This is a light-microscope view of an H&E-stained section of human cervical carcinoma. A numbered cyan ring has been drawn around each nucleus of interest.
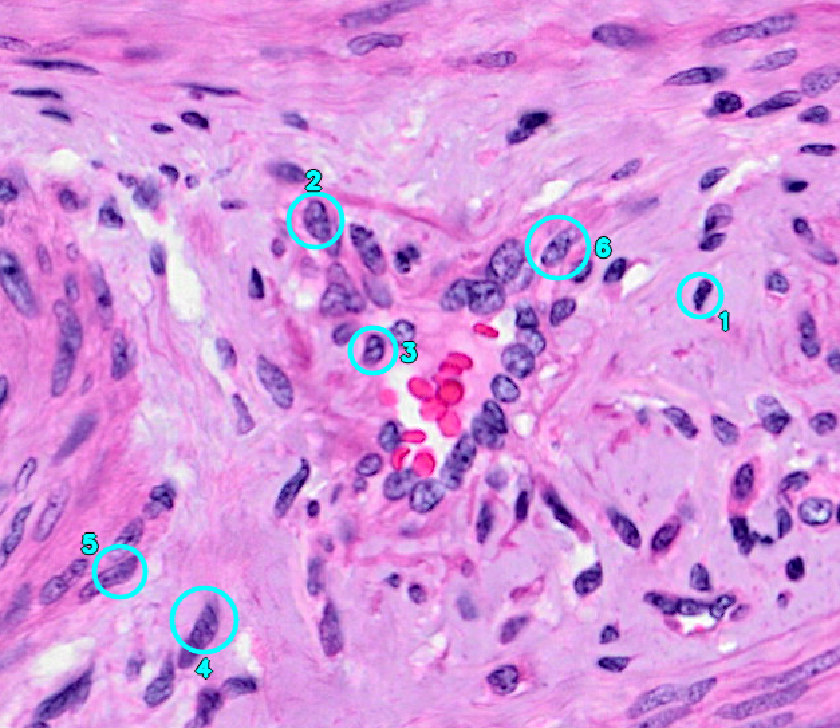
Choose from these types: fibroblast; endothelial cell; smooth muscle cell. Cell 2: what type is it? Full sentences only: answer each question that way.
In the marked set, the cell given number 2 is an endothelial cell.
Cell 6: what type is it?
The expected answer is that cell 6 is an endothelial cell.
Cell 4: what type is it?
In the marked set, the cell given number 4 is a fibroblast.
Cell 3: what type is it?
Cell number 3 in this section is an endothelial cell.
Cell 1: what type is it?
The cell indicated by marker 1 is a fibroblast in this section.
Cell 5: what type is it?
The numeral 5 marks a smooth muscle cell in this section.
